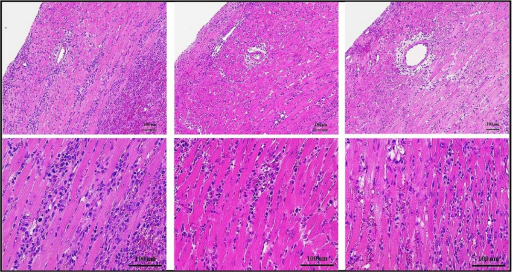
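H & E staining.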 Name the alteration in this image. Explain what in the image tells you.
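Many small dark purple nuclei crowd the spaces between the pink muscle fibers. The answer: cellular infiltration.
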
